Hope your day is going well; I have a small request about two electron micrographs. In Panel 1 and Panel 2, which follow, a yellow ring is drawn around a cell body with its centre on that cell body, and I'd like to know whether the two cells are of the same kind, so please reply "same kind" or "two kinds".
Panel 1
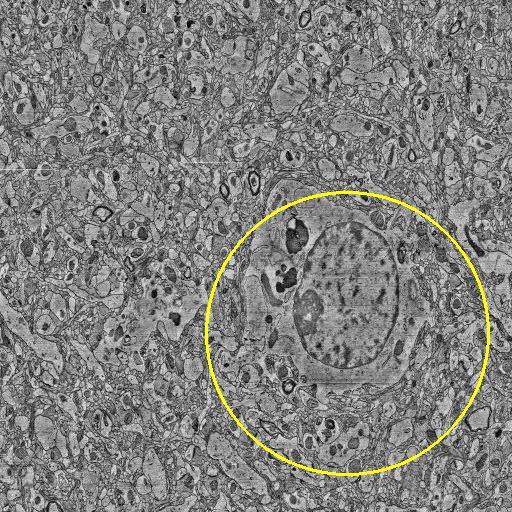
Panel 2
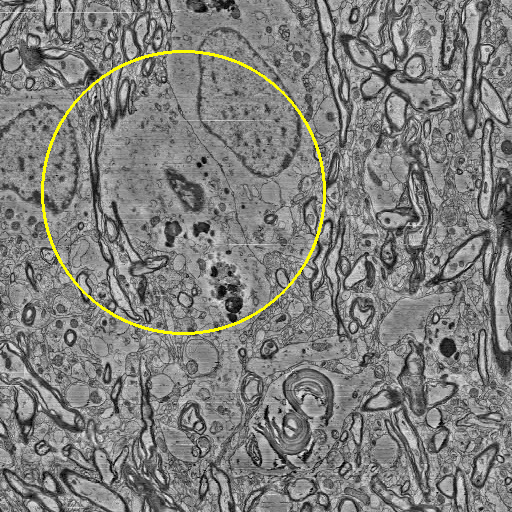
same kind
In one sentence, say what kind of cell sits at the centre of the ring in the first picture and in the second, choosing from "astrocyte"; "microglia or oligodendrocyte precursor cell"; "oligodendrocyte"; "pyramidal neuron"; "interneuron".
Each cell at the centre of a ring is an astrocyte.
